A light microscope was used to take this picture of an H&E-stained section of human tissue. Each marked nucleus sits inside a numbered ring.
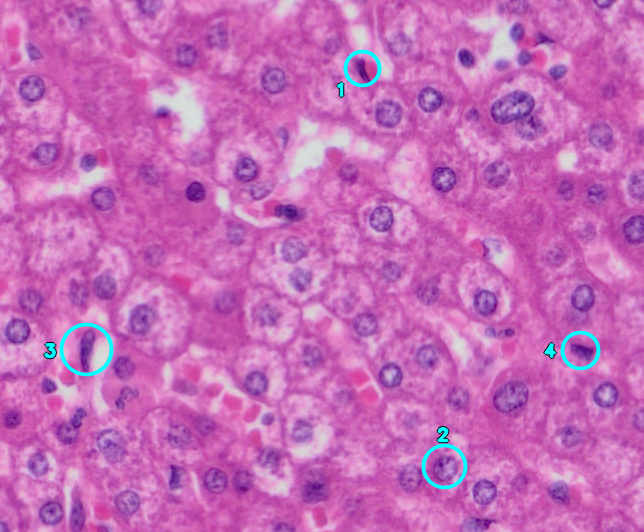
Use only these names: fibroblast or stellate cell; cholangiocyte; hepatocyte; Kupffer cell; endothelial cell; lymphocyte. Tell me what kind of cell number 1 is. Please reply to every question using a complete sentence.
Identified as an endothelial cell is the cell bearing the number 1.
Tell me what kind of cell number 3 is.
The cell numbered 3 represents a Kupffer cell.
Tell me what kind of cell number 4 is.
Numbered cell 4 is a fibroblast or stellate cell in this tissue section.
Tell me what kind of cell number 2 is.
The cell pointed out as number 2 is a hepatocyte.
